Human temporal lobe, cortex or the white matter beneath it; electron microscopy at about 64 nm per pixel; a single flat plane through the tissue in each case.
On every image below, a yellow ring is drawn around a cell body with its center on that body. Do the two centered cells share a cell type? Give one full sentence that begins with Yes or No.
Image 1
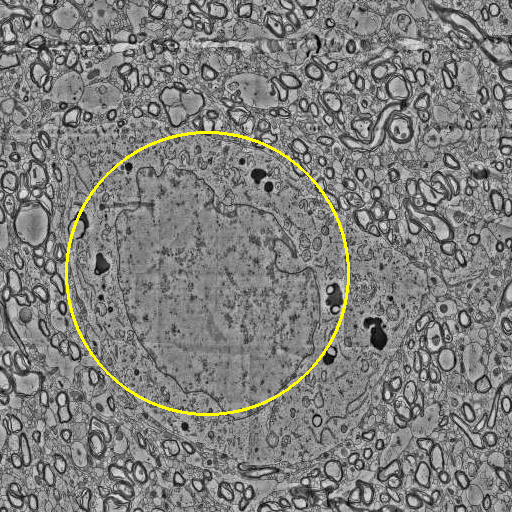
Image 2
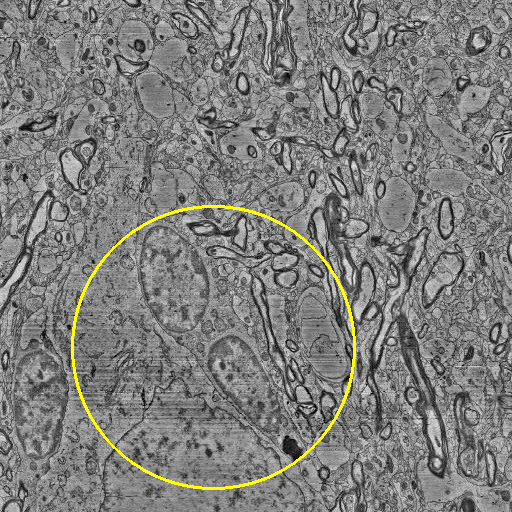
No, the centered cells in the two images are of two separate cell types.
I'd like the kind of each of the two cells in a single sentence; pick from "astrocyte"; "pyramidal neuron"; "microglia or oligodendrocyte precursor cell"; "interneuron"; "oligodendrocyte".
The first ring marks a pyramidal neuron, and the second ring marks an oligodendrocyte.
